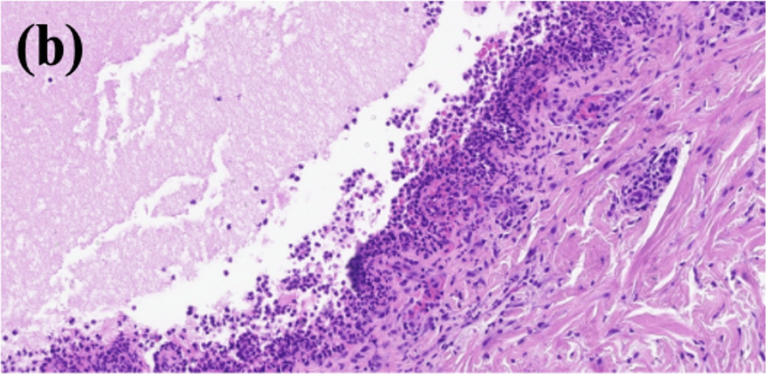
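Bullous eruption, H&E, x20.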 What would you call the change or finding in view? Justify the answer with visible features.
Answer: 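Band-like neutrophilic infiltrate. A dense band of small cells with dark nuclei runs along the edge of the dermis next to a space filled with pale pink material. Beyond the band, the dermis has pink collagen bundles with fewer cells.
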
